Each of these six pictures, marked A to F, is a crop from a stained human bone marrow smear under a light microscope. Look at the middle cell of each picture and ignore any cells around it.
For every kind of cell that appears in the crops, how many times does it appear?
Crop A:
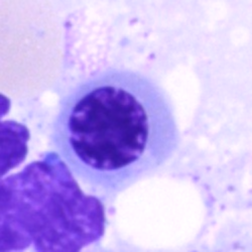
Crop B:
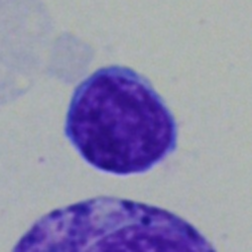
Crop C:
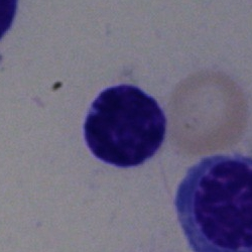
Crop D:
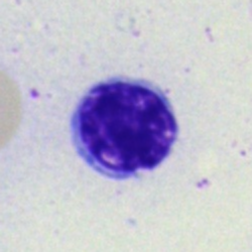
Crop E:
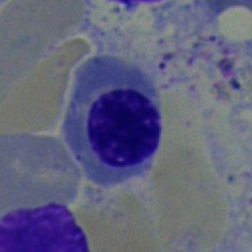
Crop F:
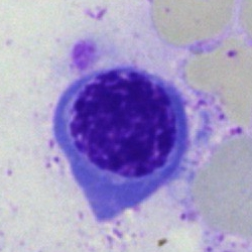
erythroblast: 3
lymphocyte: 3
